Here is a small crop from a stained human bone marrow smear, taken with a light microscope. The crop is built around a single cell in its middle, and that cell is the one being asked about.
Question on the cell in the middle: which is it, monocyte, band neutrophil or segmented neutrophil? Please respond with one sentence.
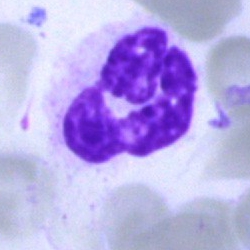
Of the cells in this crop, the central one is a segmented neutrophil.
